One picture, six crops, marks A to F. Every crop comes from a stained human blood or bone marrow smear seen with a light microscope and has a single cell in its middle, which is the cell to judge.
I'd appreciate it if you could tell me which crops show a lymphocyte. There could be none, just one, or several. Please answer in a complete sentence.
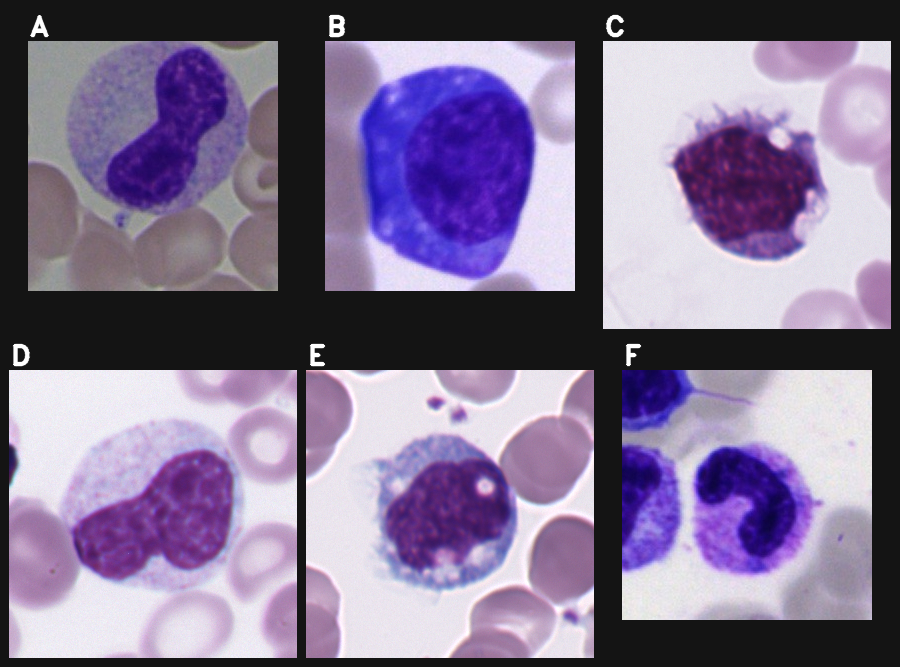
None of the crops in this set shows a lymphocyte.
